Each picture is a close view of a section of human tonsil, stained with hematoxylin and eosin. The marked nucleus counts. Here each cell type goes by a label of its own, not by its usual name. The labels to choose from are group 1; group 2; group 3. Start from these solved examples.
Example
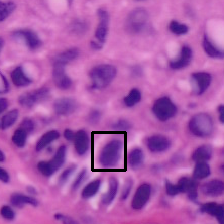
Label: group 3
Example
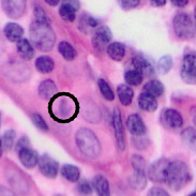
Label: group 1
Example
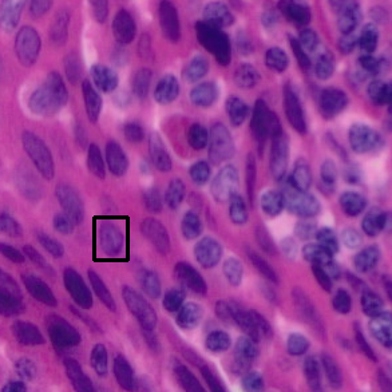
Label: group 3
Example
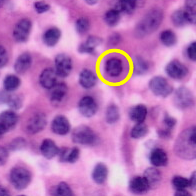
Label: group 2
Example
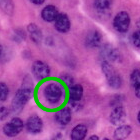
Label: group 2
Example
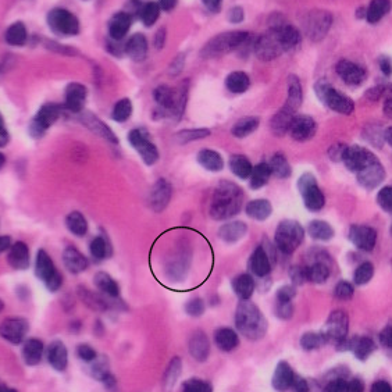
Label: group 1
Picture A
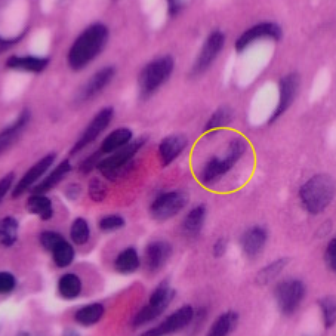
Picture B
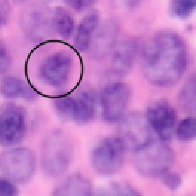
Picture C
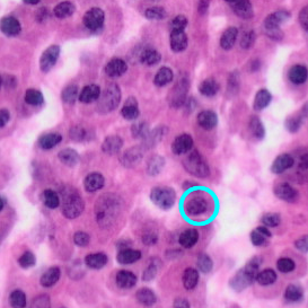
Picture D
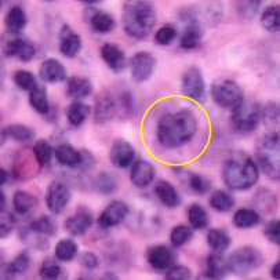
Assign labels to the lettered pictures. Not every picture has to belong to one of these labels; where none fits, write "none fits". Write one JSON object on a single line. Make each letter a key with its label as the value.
{"A": "group 3", "B": "none fits", "C": "group 2", "D": "none fits"}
